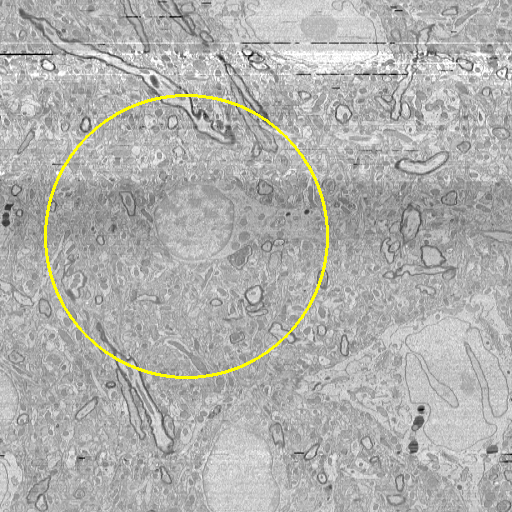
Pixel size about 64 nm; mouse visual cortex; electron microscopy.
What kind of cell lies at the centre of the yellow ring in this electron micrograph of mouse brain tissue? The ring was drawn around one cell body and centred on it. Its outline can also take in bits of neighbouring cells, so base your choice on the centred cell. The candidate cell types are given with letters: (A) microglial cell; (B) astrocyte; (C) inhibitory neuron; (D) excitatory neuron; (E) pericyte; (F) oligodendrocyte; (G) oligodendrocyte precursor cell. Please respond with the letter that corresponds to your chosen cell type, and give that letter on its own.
F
